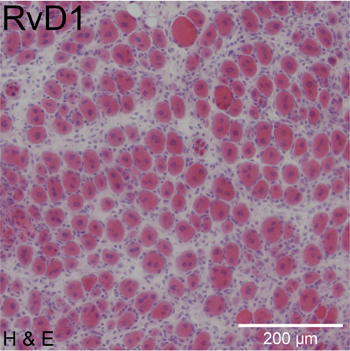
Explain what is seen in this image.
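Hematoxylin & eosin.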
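This is skeletal muscle in cross-section, made up of many myofibers cut across. The fibers are stained pink, rounded rather than polygonal, and vary a good deal in size, many being small. Between them lies a wide, pale interstitium scattered with many small purple nuclei of infiltrating cells.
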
